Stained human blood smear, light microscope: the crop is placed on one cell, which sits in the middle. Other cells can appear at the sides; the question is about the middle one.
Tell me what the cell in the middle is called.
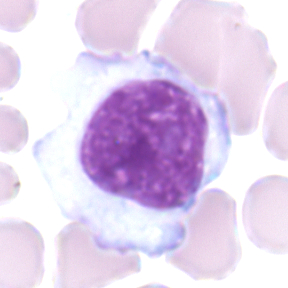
plasma cell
